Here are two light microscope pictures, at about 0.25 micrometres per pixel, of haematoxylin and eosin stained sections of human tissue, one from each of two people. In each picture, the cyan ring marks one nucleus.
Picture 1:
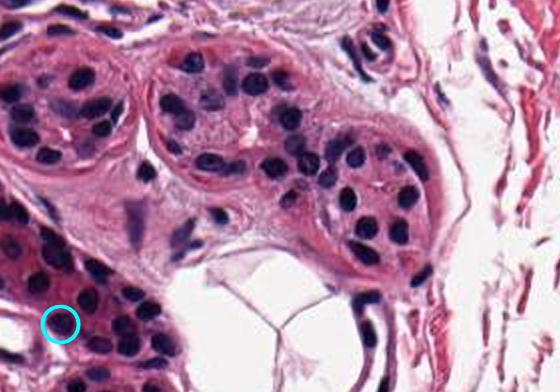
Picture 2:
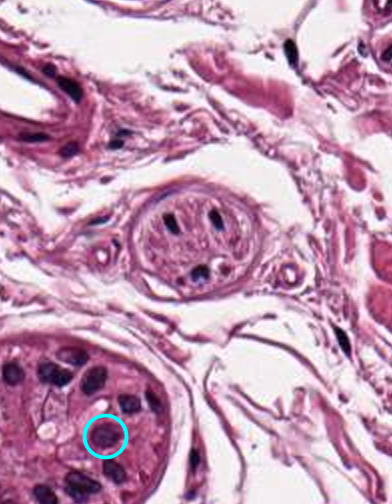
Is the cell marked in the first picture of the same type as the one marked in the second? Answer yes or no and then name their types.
Yes, both are sweat gland cells.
